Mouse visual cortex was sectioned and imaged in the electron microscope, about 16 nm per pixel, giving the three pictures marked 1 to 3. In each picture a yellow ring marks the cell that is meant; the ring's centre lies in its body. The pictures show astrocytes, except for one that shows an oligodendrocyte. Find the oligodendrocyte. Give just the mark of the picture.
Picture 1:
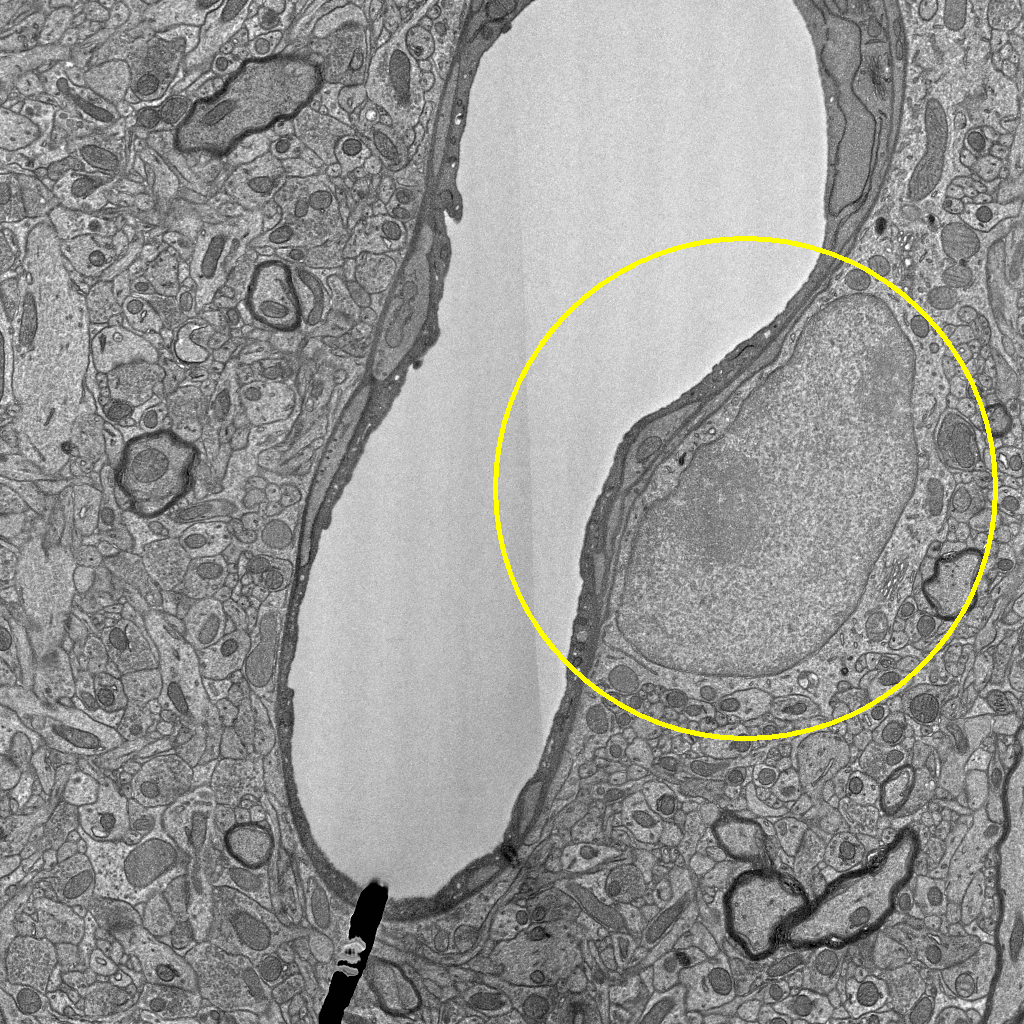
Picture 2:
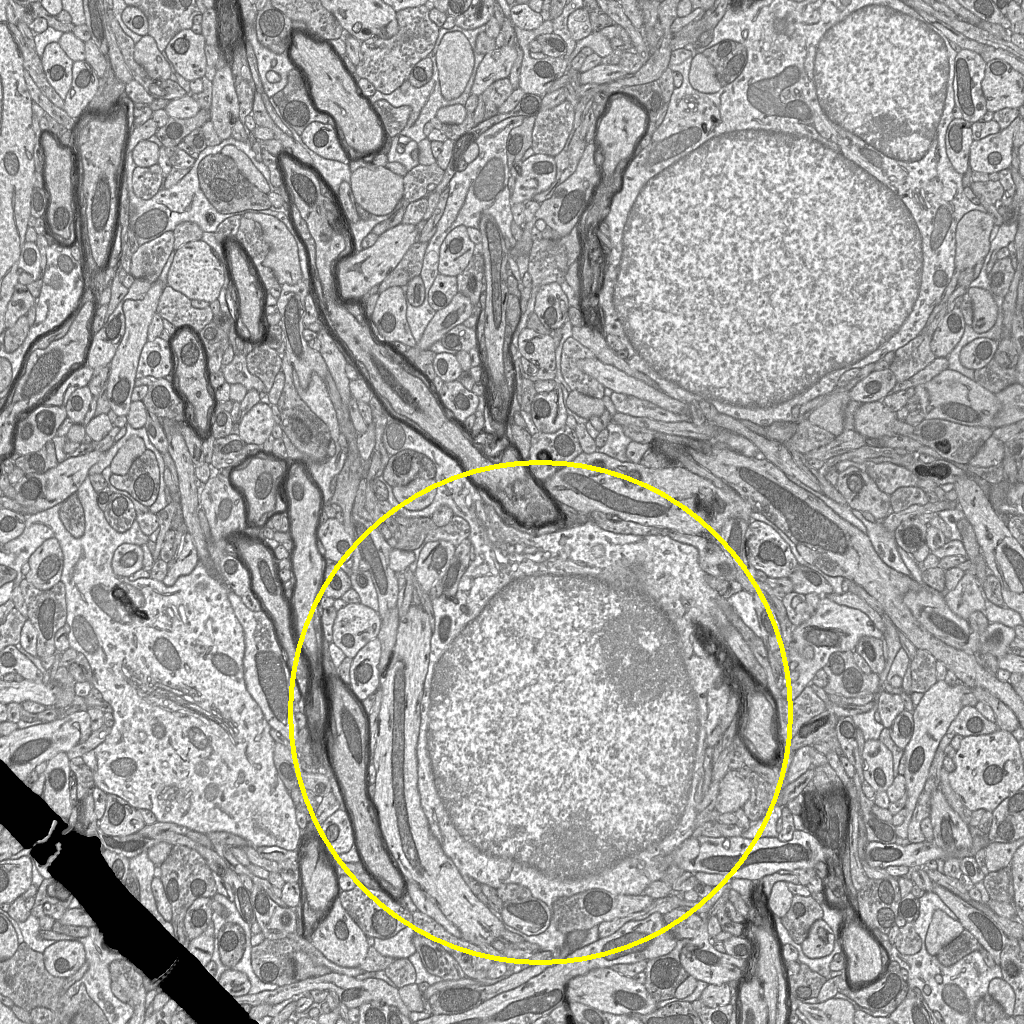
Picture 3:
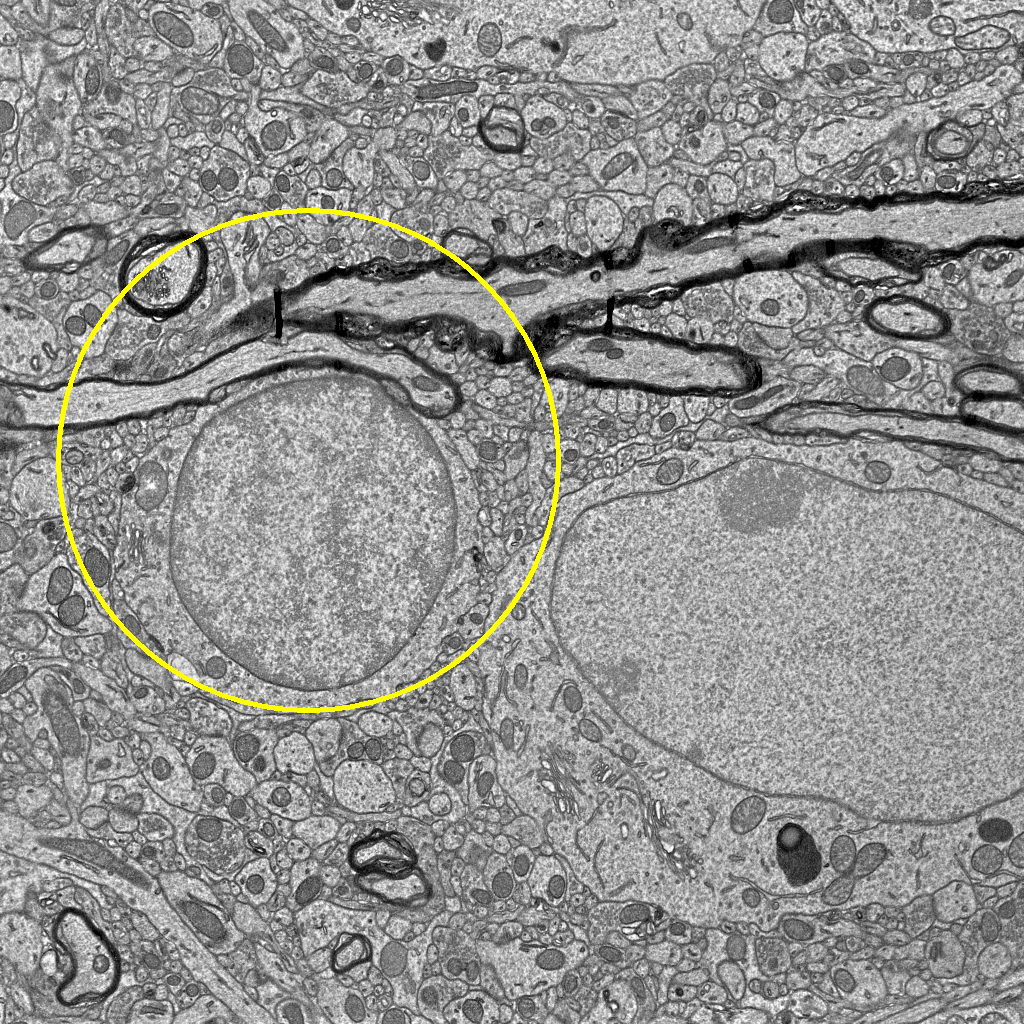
3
